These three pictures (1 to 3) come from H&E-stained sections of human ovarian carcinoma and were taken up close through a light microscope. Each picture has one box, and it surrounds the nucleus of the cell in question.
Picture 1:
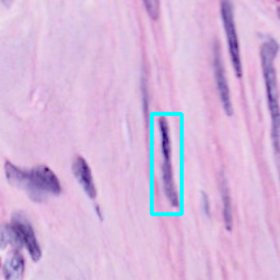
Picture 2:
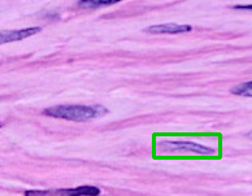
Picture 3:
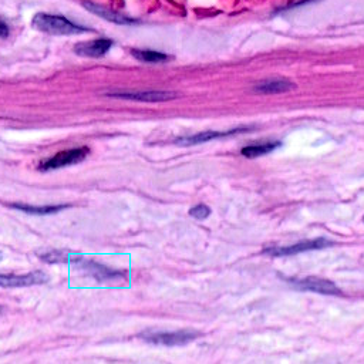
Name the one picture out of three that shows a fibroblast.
3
